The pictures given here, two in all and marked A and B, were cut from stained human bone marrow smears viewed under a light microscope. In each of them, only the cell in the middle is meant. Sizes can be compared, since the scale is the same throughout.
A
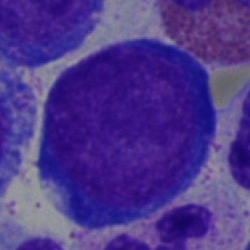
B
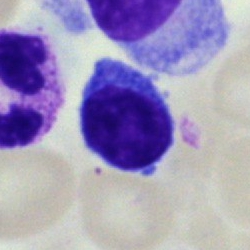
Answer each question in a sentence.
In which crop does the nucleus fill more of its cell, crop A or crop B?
Of the two, the nucleus in crop A makes up the greater part of its cell.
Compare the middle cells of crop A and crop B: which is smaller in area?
It is the cell in crop B; the cell in crop A has about 3 times its area.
